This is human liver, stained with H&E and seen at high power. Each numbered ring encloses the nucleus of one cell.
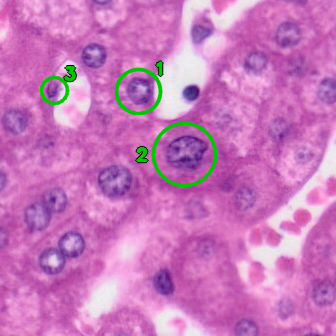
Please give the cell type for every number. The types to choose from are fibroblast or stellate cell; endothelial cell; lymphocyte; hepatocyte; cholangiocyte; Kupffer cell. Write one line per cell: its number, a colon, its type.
1: hepatocyte
2: hepatocyte
3: Kupffer cell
